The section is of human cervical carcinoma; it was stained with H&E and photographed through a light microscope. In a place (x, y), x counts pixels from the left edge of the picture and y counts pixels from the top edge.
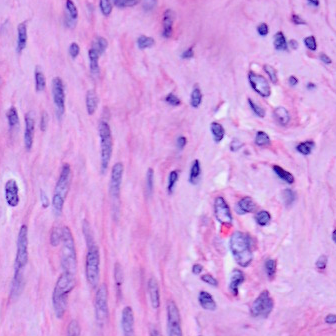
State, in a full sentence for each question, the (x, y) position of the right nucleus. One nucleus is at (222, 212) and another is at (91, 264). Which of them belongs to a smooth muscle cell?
The nucleus at (91, 264) is the member of the pair belonging to a smooth muscle cell.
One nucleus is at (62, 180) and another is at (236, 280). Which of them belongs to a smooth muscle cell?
The nucleus at (62, 180), rather than the other one, belongs to a smooth muscle cell.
